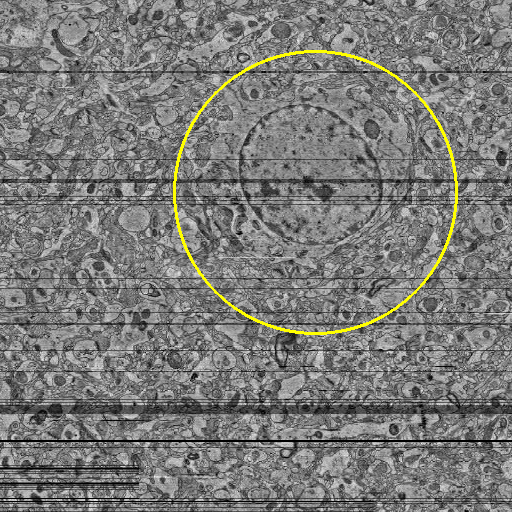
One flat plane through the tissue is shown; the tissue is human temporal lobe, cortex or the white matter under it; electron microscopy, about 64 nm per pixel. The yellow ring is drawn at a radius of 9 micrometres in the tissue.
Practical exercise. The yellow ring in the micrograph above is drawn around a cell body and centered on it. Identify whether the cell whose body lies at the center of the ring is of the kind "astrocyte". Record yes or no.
yes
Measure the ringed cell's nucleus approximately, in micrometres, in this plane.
Approximately 10 by 8 micrometers in this plane.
